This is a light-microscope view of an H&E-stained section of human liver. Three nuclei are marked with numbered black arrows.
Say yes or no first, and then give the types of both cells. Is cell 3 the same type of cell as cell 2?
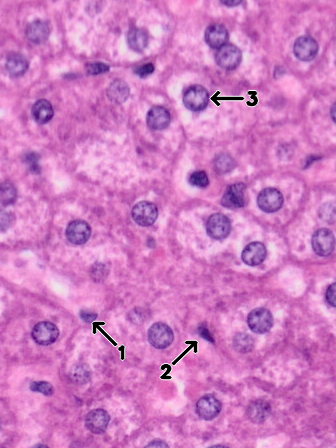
No, cell 3 is a hepatocyte and cell 2 is an endothelial cell.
